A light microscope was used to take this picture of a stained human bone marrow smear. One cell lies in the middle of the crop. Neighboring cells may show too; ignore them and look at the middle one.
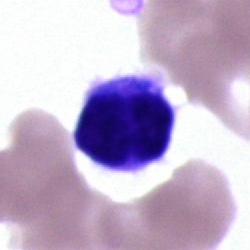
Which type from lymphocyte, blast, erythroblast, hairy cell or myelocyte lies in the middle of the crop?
lymphocyte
